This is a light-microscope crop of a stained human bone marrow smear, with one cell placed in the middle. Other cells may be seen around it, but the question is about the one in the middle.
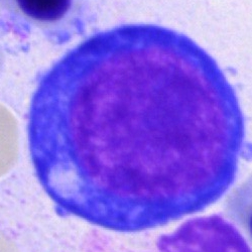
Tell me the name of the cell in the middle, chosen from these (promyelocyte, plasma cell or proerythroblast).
proerythroblast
